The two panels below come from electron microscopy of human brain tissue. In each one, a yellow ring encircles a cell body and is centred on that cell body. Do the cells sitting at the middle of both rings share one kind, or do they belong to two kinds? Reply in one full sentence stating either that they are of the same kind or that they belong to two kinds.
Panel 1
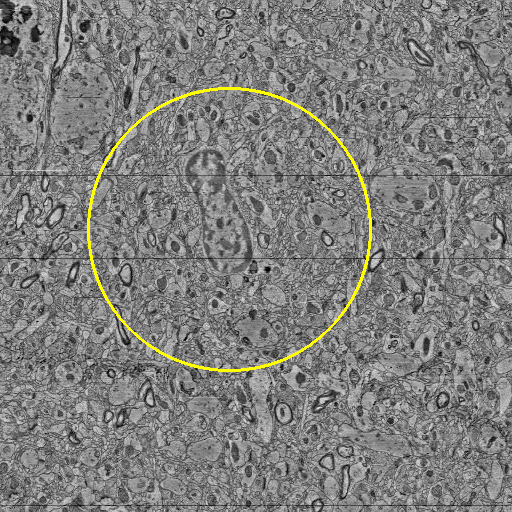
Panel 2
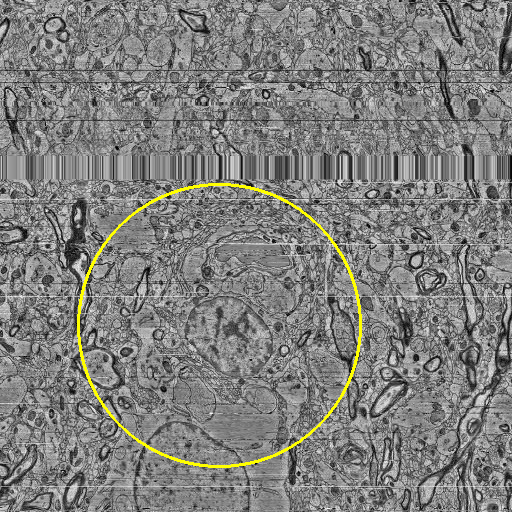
The cells at the centres of the two rings belong to two kinds.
